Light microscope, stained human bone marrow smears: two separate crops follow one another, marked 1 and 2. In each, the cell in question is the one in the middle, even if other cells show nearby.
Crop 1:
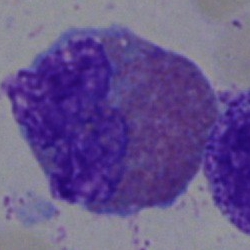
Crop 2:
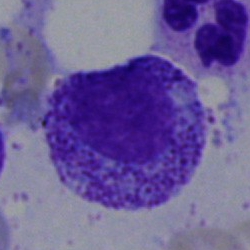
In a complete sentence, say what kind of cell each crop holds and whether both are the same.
No, crop 1 contains an eosinophil; a myelocyte is what crop 2 contains.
